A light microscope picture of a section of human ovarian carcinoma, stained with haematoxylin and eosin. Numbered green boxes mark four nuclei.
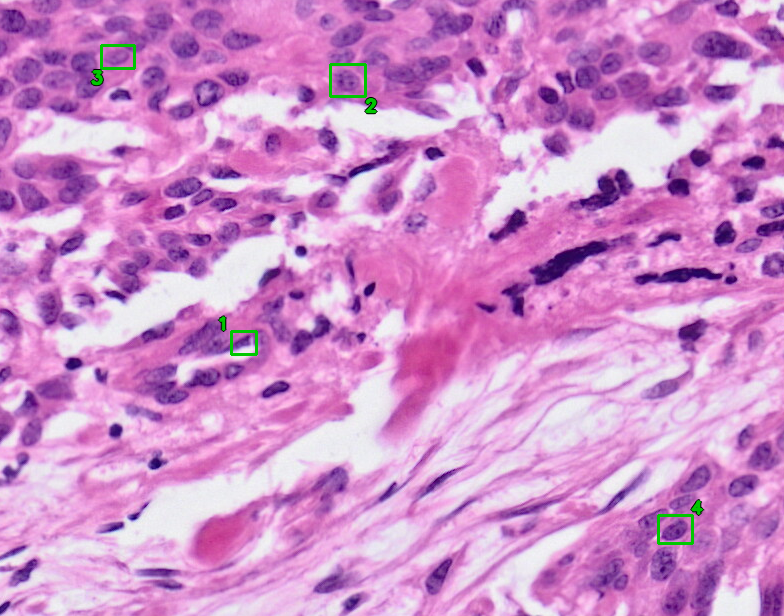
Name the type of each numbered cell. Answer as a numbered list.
1. endothelial cell
2. carcinoma cell
3. carcinoma cell
4. carcinoma cell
